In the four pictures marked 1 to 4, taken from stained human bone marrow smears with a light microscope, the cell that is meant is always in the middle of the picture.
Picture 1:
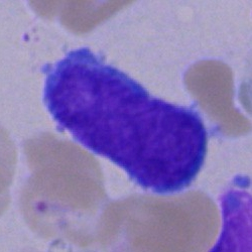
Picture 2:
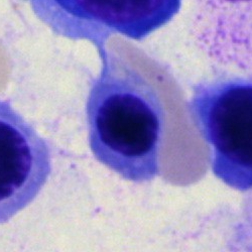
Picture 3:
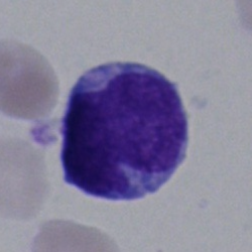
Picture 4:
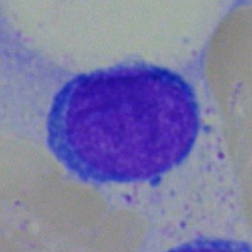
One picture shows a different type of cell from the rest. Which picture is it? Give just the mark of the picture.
2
